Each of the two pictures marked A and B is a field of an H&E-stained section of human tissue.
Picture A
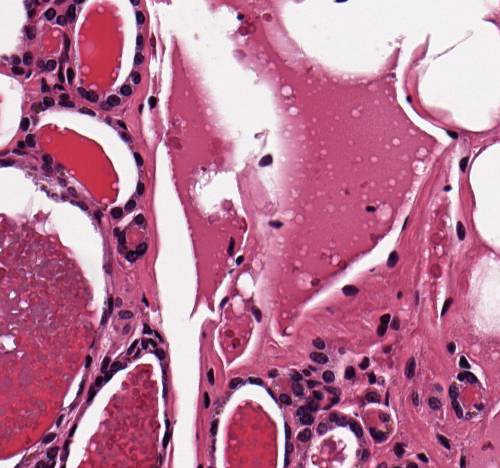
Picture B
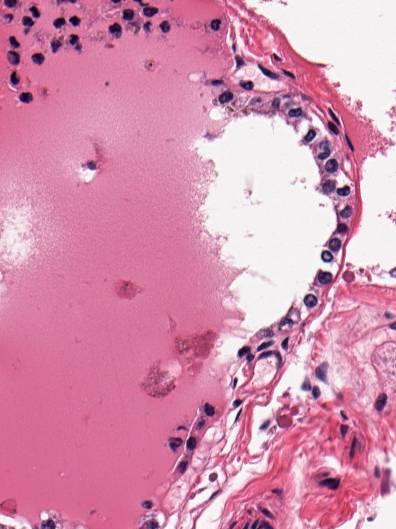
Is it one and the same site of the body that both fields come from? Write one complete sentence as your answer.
Yes, the two fields both come from the thyroid.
